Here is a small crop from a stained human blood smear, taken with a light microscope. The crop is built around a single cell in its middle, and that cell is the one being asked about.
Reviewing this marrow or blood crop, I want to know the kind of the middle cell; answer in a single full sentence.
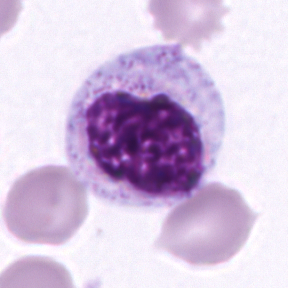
The cell positioned in the middle of the field is a metamyelocyte.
